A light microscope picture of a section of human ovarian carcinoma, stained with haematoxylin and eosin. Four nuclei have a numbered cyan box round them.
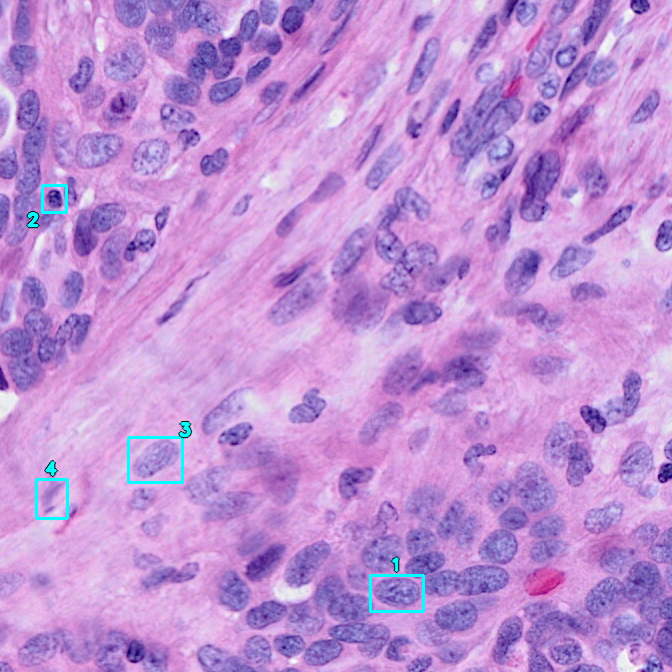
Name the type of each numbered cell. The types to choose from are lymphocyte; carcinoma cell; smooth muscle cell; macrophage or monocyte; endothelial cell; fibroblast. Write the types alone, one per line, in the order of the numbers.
carcinoma cell
lymphocyte
fibroblast
fibroblast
